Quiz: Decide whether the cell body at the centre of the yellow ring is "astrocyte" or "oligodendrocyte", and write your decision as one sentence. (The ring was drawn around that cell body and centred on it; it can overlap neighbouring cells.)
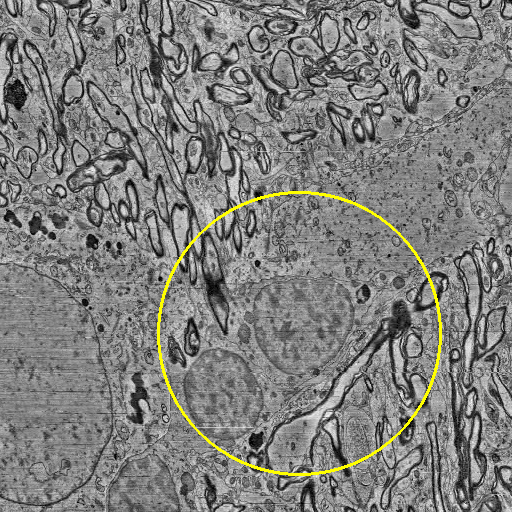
The cell the ring is centred on is an oligodendrocyte.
